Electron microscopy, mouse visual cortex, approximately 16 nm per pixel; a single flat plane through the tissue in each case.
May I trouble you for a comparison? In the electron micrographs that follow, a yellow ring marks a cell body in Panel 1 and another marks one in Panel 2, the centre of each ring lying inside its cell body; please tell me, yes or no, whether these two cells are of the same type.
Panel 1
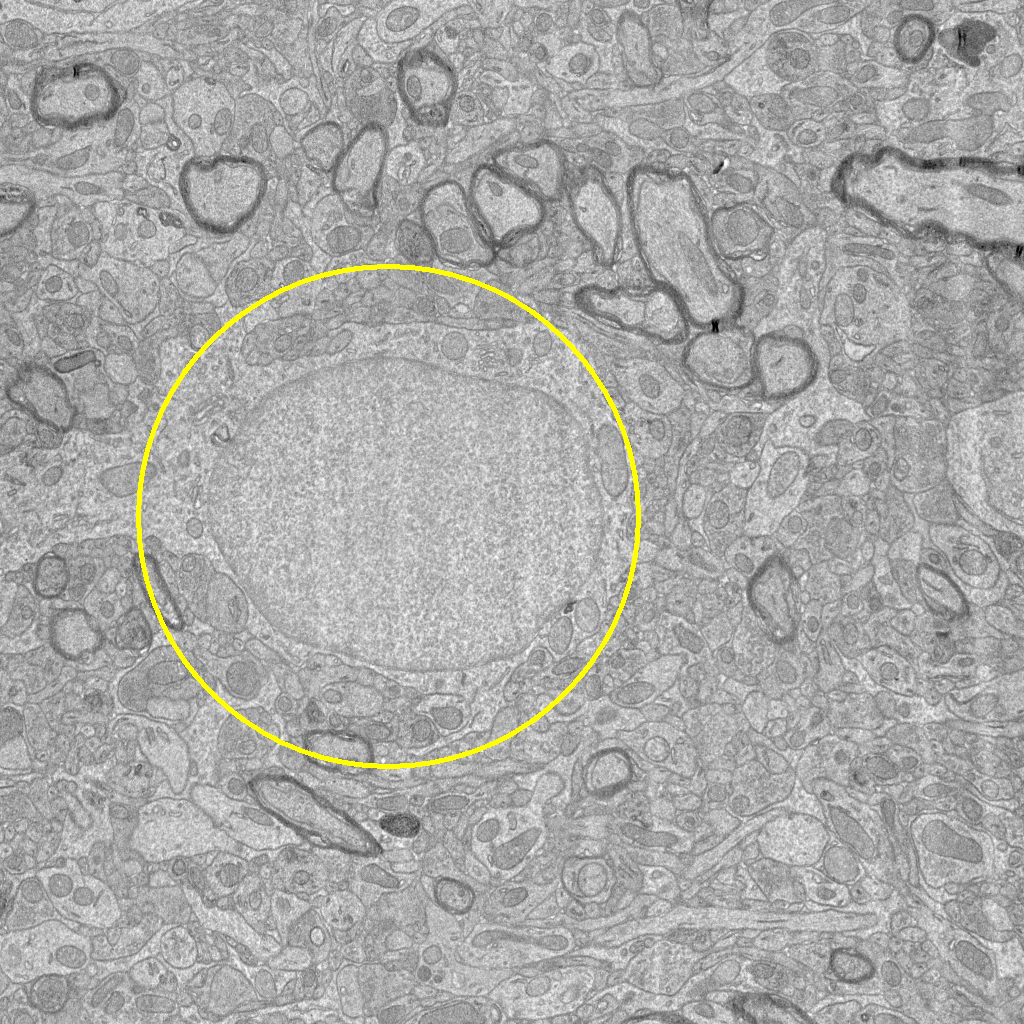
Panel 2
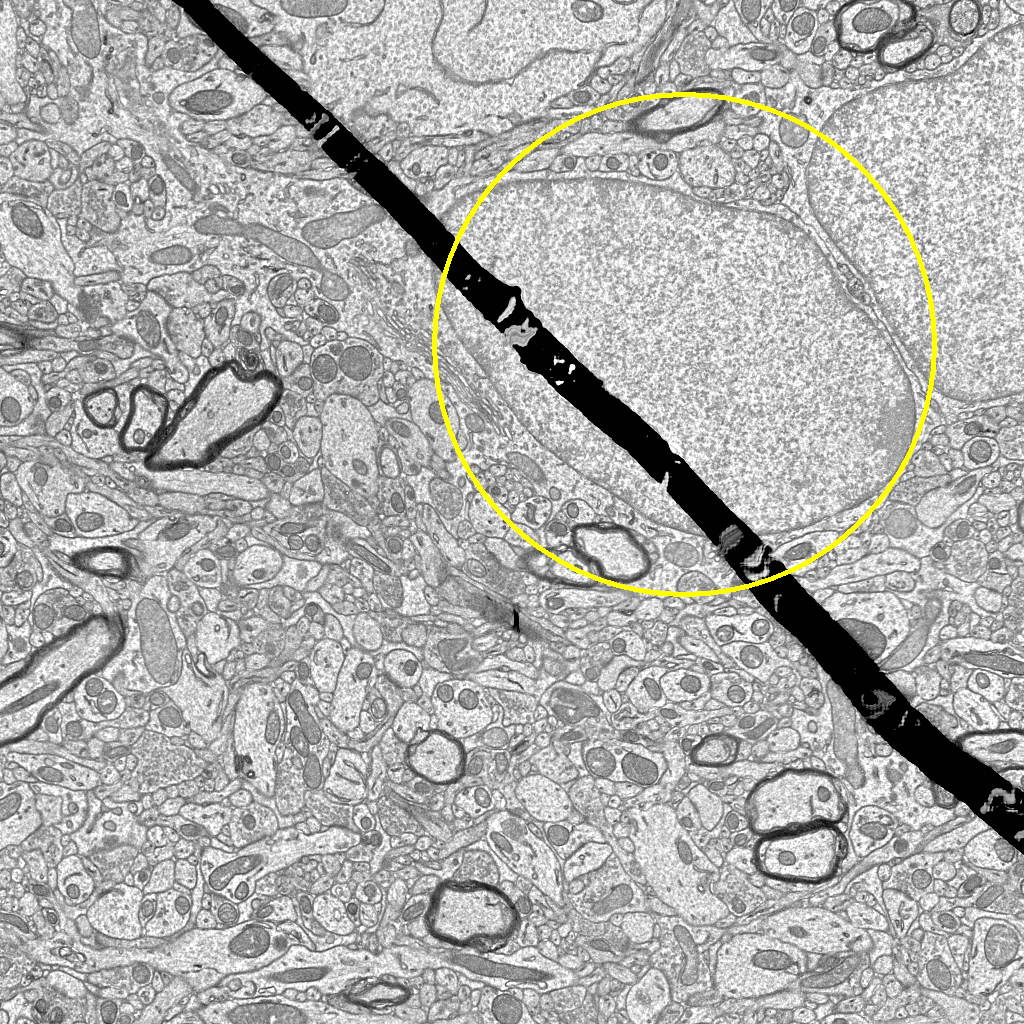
yes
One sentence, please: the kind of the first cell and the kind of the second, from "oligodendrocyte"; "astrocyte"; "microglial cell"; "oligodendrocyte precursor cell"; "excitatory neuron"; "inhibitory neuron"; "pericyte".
Both cells are the same kind, each one being an astrocyte.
